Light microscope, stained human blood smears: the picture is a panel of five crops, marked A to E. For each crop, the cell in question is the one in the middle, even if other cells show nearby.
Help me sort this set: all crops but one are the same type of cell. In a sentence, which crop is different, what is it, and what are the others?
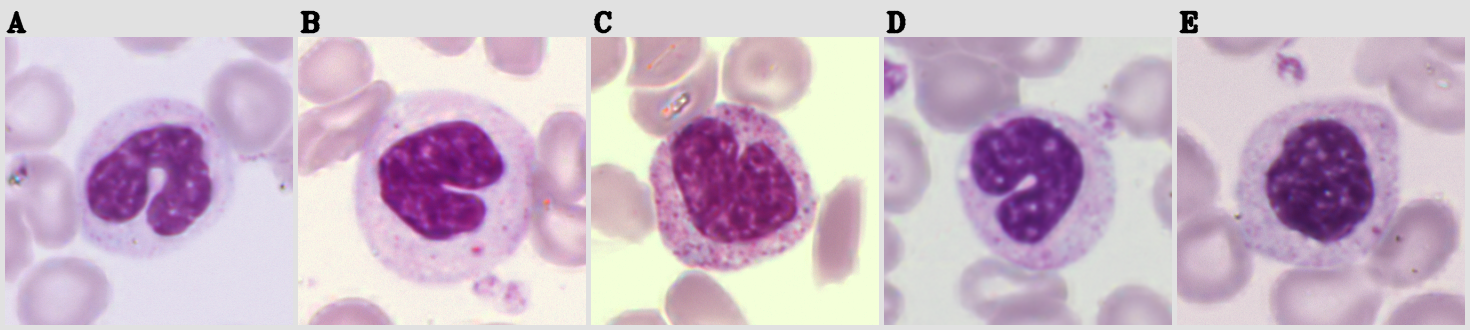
All the crops show band neutrophils, barring crop E, which is a metamyelocyte.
